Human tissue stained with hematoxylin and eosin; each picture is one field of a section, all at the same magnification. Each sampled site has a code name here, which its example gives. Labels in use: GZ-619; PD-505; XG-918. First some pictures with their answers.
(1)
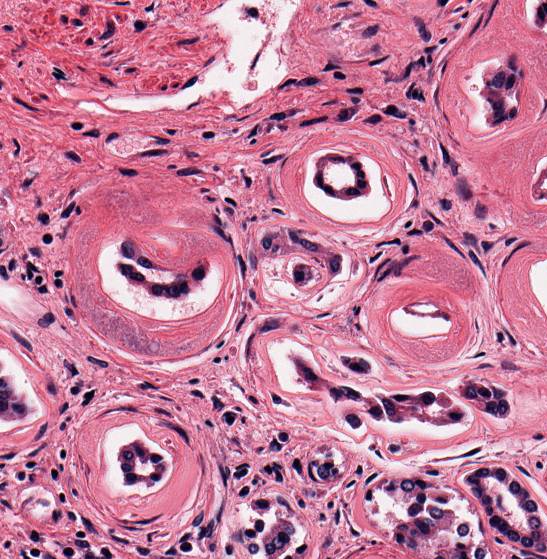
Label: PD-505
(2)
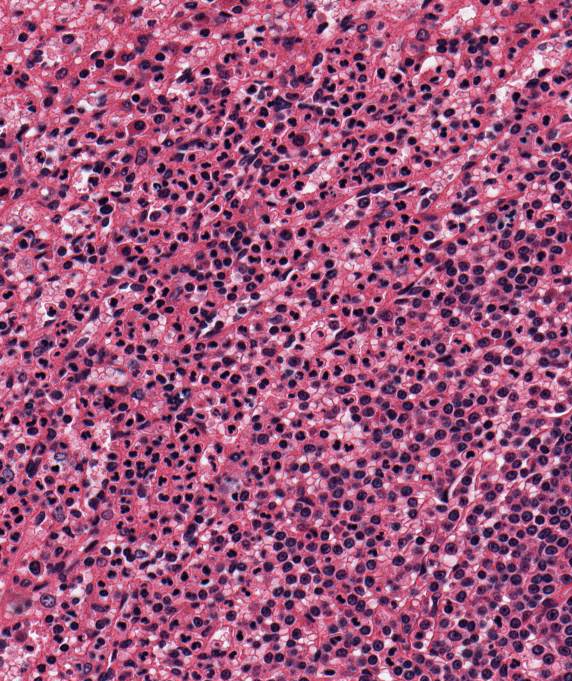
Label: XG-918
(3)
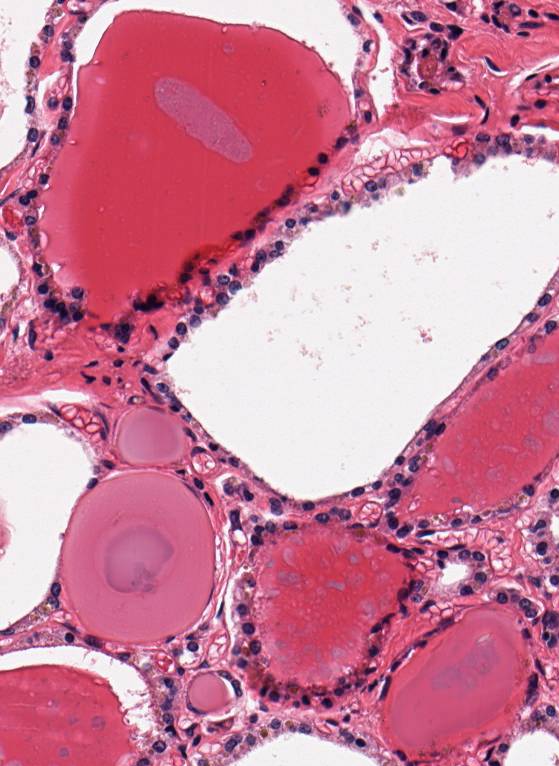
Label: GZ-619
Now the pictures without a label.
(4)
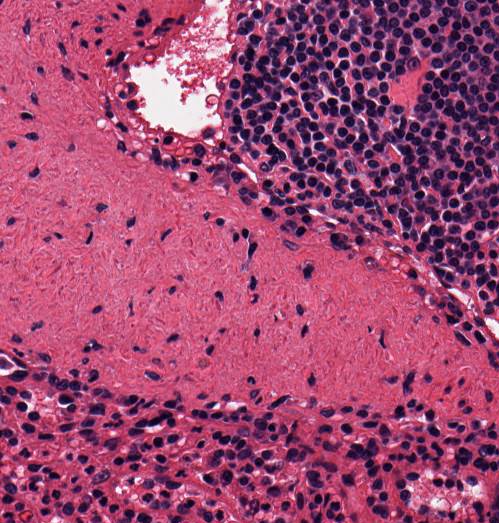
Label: XG-918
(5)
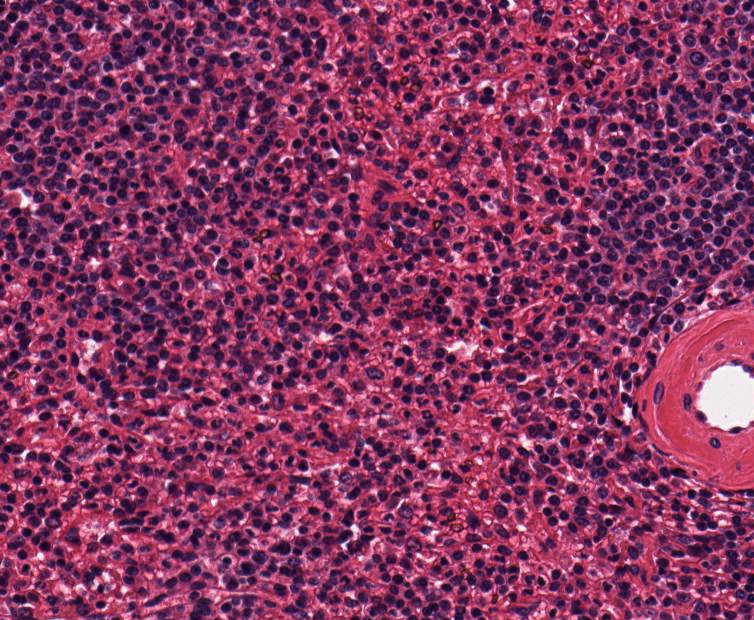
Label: XG-918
